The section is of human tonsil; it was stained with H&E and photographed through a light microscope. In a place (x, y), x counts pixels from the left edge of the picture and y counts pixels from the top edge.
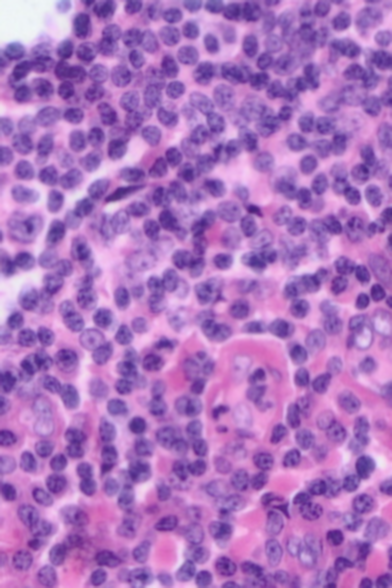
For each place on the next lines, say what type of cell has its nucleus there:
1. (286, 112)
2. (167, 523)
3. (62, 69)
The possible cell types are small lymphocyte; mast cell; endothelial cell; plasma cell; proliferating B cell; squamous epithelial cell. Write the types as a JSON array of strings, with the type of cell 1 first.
["small lymphocyte", "plasma cell", "small lymphocyte"]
